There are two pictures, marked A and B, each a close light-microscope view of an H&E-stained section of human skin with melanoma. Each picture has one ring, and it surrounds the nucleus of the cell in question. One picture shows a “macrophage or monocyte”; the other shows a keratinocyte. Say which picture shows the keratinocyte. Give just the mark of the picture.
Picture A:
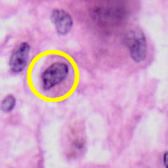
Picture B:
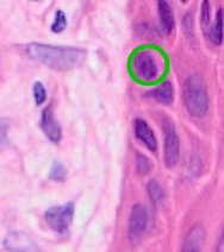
B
